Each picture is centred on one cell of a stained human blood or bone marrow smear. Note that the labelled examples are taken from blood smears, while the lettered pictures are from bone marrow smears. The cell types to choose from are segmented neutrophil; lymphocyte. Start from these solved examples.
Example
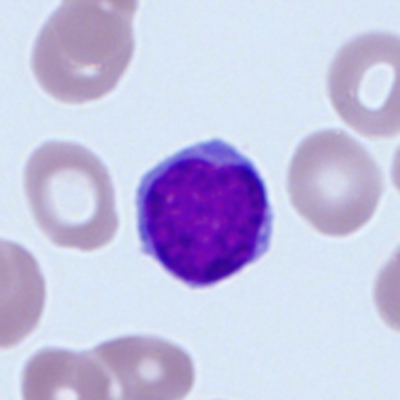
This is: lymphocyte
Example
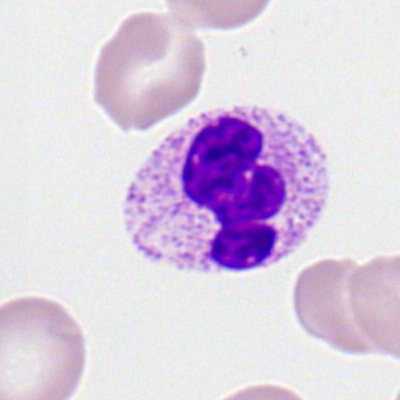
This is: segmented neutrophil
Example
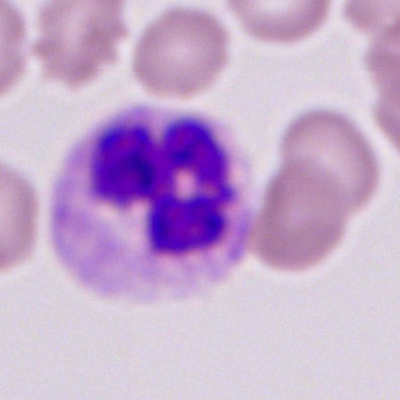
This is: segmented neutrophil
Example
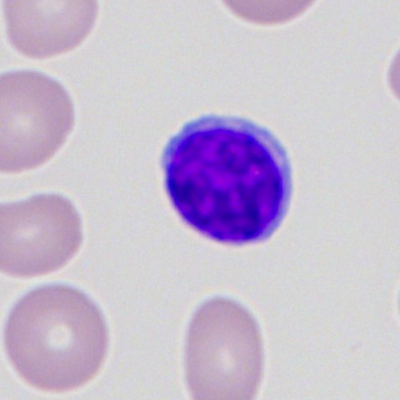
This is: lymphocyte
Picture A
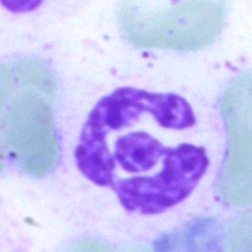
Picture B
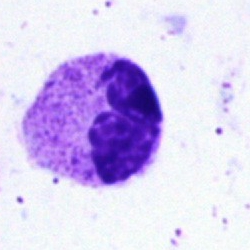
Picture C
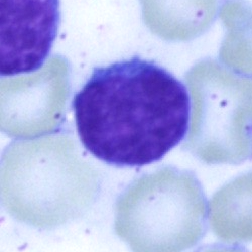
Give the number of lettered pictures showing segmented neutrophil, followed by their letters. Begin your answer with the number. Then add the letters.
2: A, B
